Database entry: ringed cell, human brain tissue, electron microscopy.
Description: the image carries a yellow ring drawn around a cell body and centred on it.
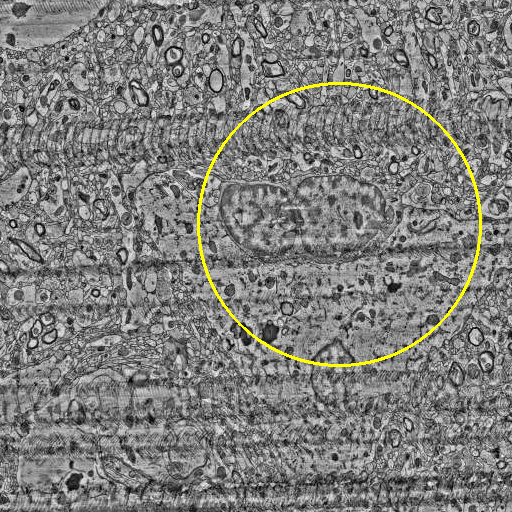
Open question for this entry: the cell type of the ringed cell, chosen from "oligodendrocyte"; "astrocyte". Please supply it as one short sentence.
The ringed cell is an oligodendrocyte.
